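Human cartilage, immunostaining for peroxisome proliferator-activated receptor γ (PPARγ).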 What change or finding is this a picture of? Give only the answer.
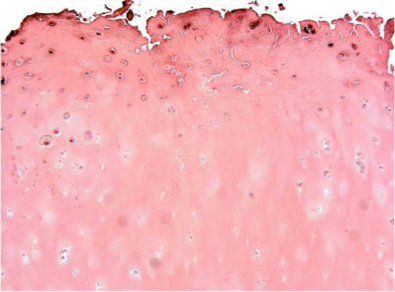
Mild to moderate osteoarthritis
